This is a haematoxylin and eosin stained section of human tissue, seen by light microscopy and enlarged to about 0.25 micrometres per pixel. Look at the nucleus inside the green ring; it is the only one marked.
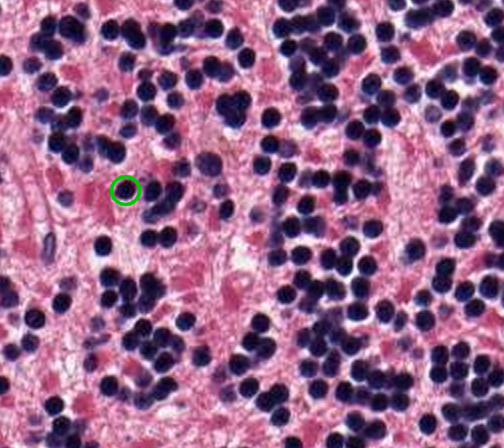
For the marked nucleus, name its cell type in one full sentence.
The marked nucleus is a nucleus of a cerebellar granule cell.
